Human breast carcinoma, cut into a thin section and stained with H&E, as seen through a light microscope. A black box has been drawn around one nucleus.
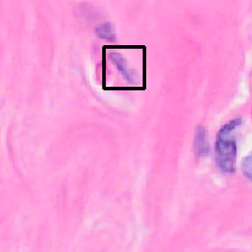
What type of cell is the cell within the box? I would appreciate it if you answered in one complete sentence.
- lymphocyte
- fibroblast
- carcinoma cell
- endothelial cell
In the tissue at hand, the cell within the box is an endothelial cell.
